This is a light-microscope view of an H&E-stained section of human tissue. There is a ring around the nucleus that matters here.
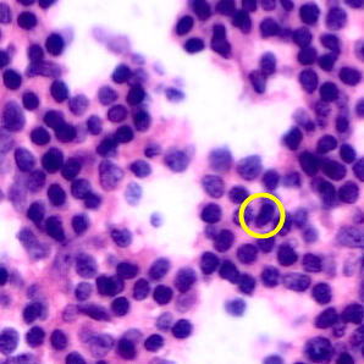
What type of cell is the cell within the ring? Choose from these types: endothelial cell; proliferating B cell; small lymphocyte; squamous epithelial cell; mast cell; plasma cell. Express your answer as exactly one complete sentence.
Within this tissue, the cell within the ring is a small lymphocyte.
